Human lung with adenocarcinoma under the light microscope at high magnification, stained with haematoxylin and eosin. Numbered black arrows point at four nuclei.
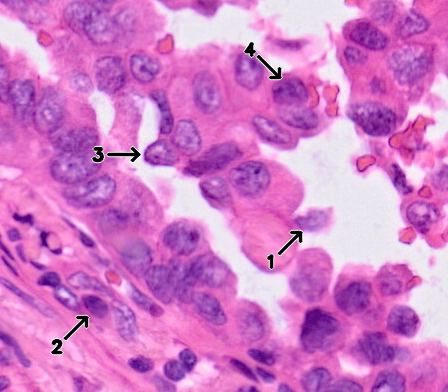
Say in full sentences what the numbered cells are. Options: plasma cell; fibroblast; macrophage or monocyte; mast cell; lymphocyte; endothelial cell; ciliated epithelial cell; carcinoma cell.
Cell 1 is a carcinoma cell, cell 2 is a plasma cell, cell 3 is a carcinoma cell and cell 4 is a carcinoma cell.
